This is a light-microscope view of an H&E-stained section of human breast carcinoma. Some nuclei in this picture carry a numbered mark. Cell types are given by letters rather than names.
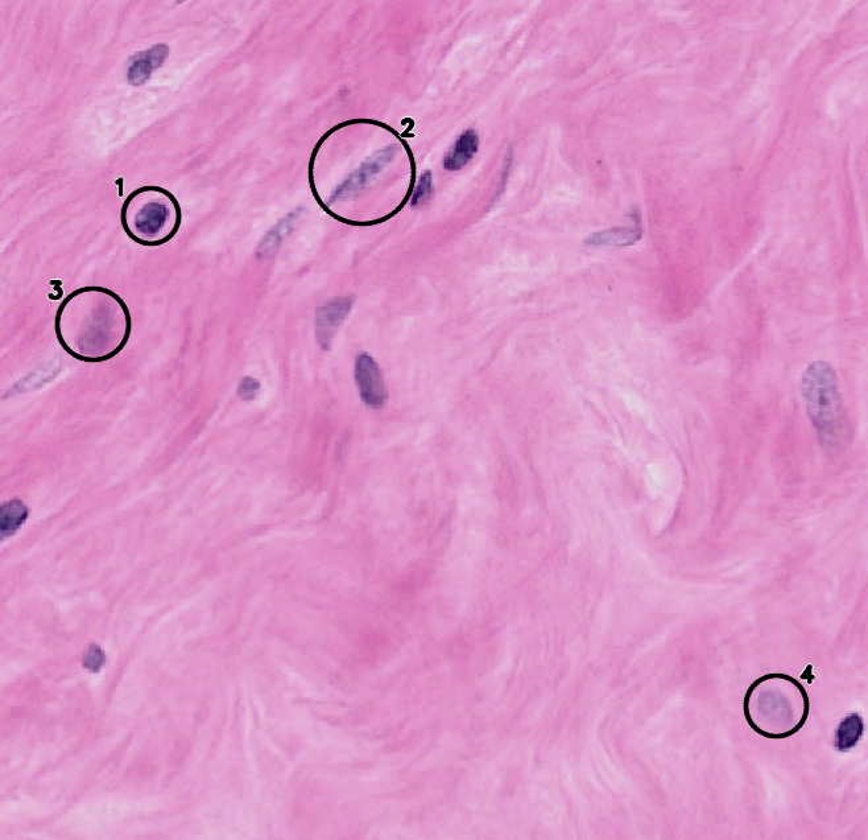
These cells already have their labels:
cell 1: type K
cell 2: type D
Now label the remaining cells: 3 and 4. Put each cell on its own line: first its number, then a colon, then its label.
3: type D
4: type D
